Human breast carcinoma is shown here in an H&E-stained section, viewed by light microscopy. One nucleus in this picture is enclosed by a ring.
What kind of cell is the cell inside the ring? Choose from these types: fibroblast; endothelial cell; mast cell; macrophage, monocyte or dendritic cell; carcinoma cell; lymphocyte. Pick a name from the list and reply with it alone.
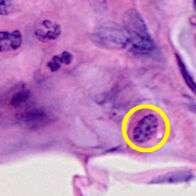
mast cell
